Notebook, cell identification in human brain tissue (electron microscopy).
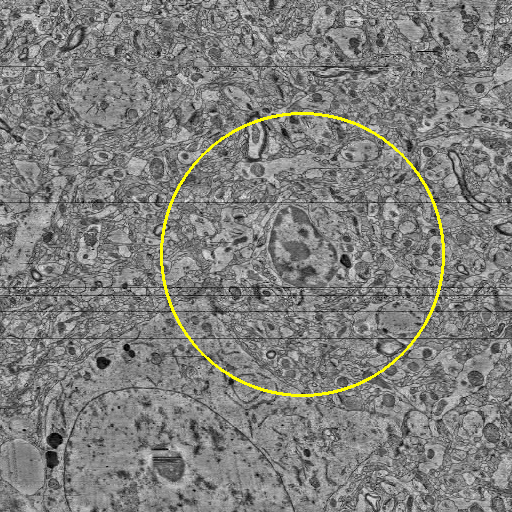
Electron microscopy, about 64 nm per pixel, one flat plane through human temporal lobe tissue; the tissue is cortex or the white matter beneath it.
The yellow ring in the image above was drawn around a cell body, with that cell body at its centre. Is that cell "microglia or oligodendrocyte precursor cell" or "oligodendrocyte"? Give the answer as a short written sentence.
The cell in the ring is a microglial cell or oligodendrocyte precursor cell.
